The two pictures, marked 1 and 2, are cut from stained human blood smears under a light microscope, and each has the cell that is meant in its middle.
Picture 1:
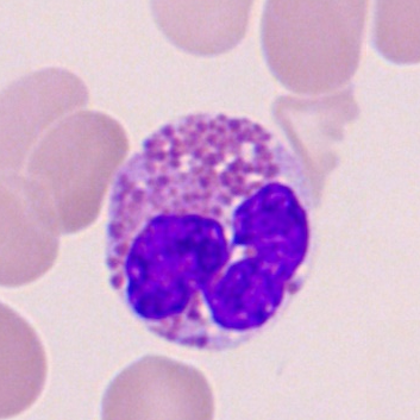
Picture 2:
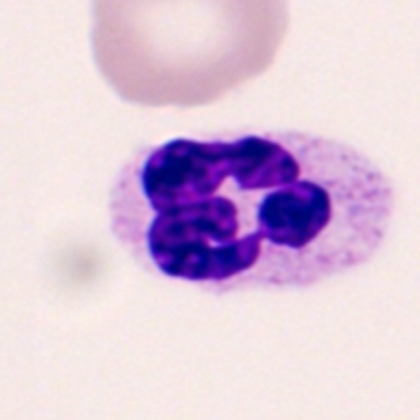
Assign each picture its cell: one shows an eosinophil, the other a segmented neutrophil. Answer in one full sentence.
Picture 1 shows an eosinophil and picture 2 shows a segmented neutrophil.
